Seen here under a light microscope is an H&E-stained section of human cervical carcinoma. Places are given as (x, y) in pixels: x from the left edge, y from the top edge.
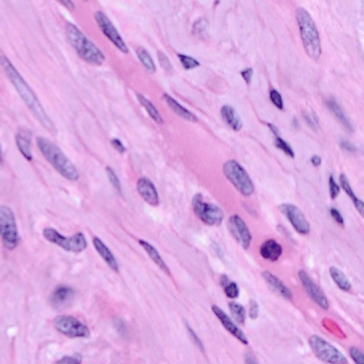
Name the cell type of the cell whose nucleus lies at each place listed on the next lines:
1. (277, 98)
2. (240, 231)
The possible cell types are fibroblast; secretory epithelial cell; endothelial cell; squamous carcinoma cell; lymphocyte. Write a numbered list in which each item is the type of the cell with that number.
1. fibroblast
2. endothelial cell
